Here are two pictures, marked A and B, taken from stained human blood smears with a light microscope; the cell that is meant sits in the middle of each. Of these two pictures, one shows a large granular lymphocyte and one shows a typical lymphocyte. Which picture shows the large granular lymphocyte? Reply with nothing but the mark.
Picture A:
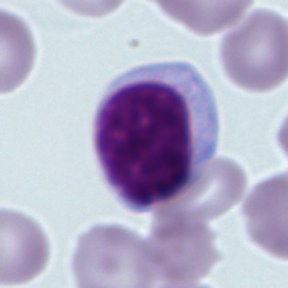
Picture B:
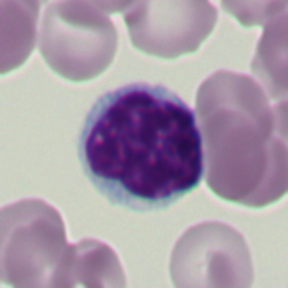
A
